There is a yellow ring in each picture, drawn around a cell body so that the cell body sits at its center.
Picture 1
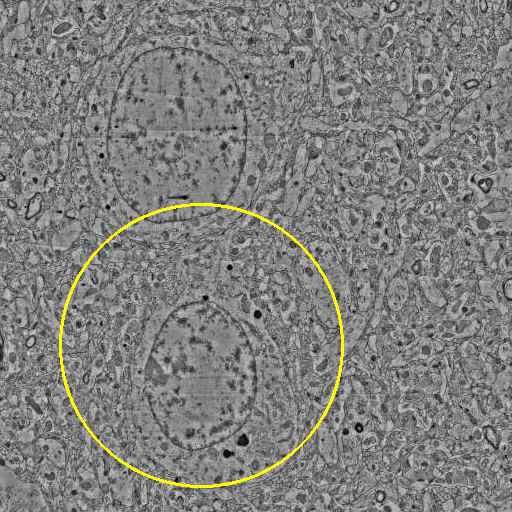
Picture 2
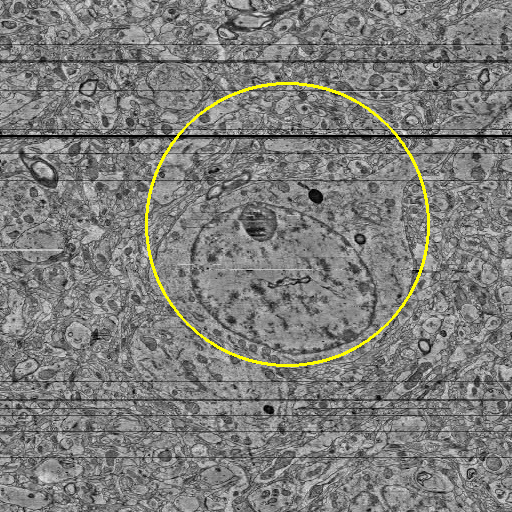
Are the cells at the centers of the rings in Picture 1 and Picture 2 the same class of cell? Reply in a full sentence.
Yes, the two cells are the same class of cell.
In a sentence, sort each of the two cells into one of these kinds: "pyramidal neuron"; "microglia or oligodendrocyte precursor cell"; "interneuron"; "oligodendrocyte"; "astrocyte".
The cell in the first picture is a pyramidal neuron, and so is the one in the second.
